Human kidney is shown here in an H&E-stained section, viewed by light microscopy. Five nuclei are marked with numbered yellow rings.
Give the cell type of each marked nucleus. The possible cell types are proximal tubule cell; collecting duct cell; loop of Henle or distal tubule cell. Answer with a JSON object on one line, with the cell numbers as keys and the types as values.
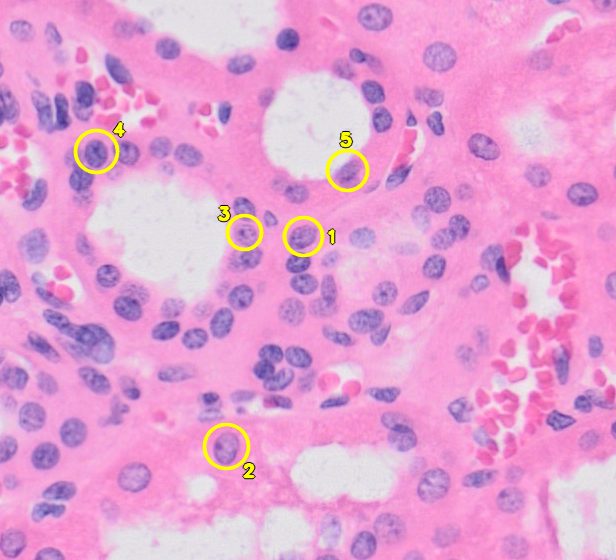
{"1": "collecting duct cell", "2": "proximal tubule cell", "3": "collecting duct cell", "4": "collecting duct cell", "5": "loop of Henle or distal tubule cell"}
